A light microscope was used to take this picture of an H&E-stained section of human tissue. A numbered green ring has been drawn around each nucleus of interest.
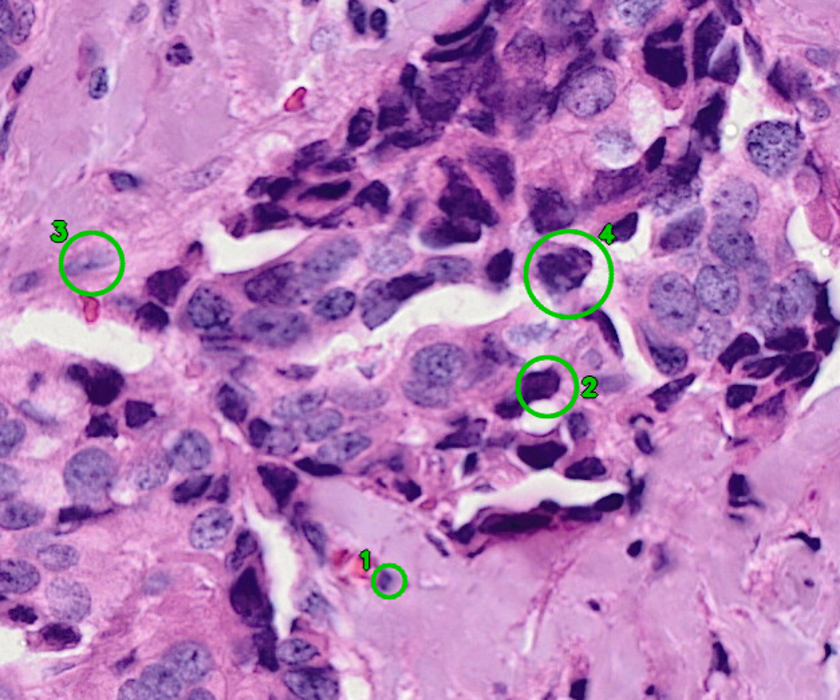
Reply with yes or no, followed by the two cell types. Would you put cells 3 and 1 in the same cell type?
Yes, regarding cells 3 and 1, both are endothelial cells.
